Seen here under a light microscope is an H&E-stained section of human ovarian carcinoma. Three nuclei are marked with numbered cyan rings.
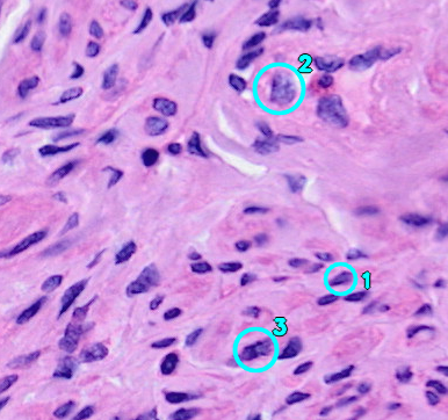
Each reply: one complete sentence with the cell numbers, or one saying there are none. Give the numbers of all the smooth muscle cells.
In terms of cell type, cells 1 and 3 are smooth muscle cells.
